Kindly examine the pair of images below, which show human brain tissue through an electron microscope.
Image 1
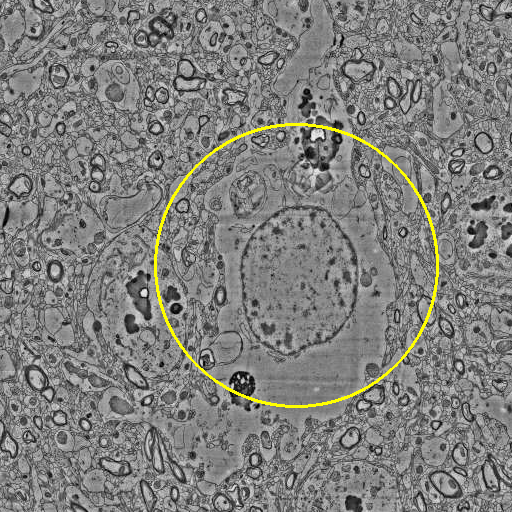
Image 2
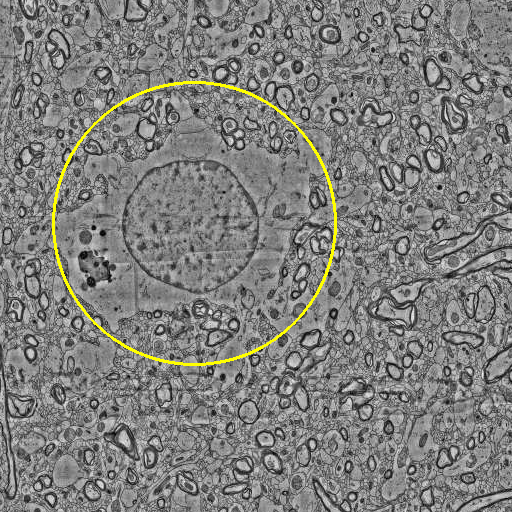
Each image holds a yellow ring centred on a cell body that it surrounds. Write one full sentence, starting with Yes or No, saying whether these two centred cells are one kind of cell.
Yes, both cells at the centres of the yellow rings belong to one kind of cell.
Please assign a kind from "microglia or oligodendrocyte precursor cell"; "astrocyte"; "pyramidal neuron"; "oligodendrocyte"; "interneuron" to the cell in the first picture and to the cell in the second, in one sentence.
In the first picture and in the second, the ring is centred on an astrocyte.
